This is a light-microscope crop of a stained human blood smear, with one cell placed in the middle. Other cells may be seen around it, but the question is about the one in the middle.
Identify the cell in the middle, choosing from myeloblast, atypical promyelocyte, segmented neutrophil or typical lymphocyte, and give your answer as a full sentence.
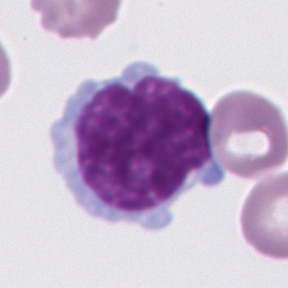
The central cell, amid any neighbouring cells, is a typical lymphocyte.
